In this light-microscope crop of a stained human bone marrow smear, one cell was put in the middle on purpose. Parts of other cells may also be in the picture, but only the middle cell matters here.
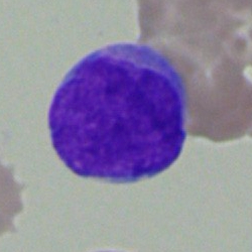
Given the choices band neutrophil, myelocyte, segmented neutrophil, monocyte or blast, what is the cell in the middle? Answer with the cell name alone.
blast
